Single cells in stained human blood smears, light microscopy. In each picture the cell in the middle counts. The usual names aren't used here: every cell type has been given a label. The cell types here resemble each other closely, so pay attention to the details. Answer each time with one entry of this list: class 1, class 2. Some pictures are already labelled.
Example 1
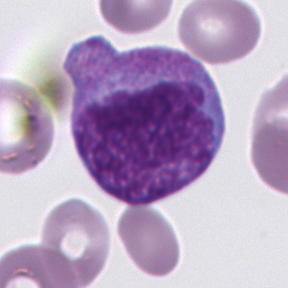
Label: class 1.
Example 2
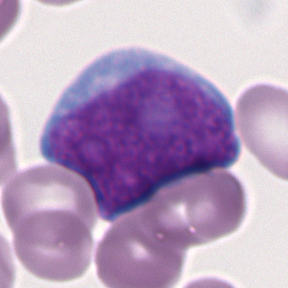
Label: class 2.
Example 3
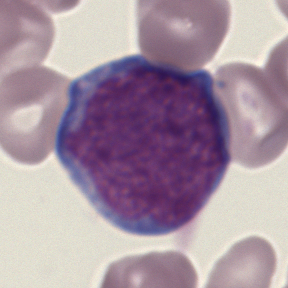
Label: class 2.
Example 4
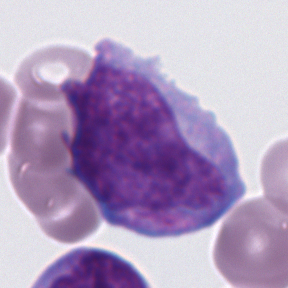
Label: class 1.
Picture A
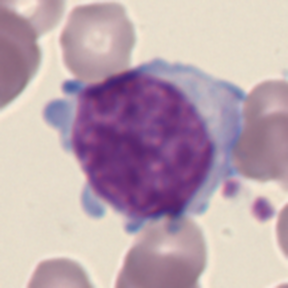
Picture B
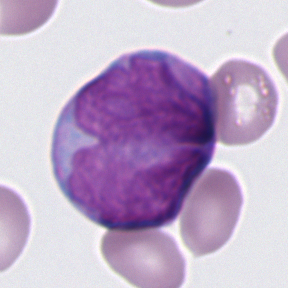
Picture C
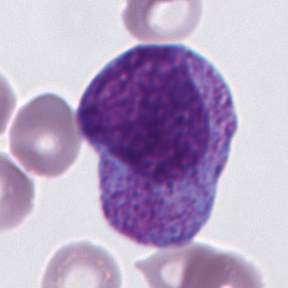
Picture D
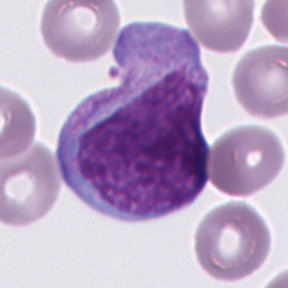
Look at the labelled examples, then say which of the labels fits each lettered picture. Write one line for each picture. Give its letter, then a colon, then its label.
A: class 2.
B: class 1.
C: class 1.
D: class 1.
